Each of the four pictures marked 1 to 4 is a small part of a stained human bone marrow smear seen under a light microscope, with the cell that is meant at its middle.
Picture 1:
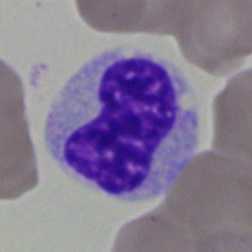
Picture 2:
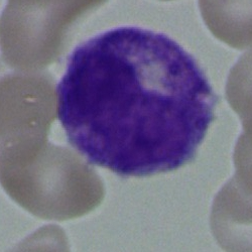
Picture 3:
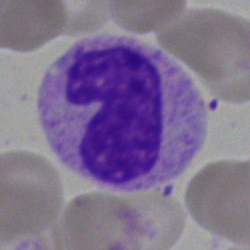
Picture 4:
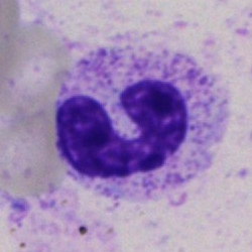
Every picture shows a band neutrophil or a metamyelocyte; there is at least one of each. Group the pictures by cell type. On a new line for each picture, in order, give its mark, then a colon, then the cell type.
1: metamyelocyte
2: metamyelocyte
3: band neutrophil
4: band neutrophil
